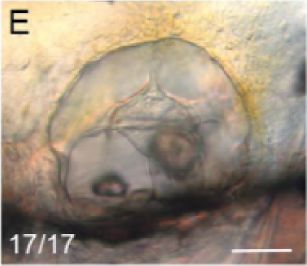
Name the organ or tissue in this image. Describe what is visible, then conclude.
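Ears. A large fluid-filled vesicle bounded by a thin epithelial wall. Two rounded dense bodies lie inside the vesicle. Thin tissue strands cross the lumen and meet near the middle.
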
